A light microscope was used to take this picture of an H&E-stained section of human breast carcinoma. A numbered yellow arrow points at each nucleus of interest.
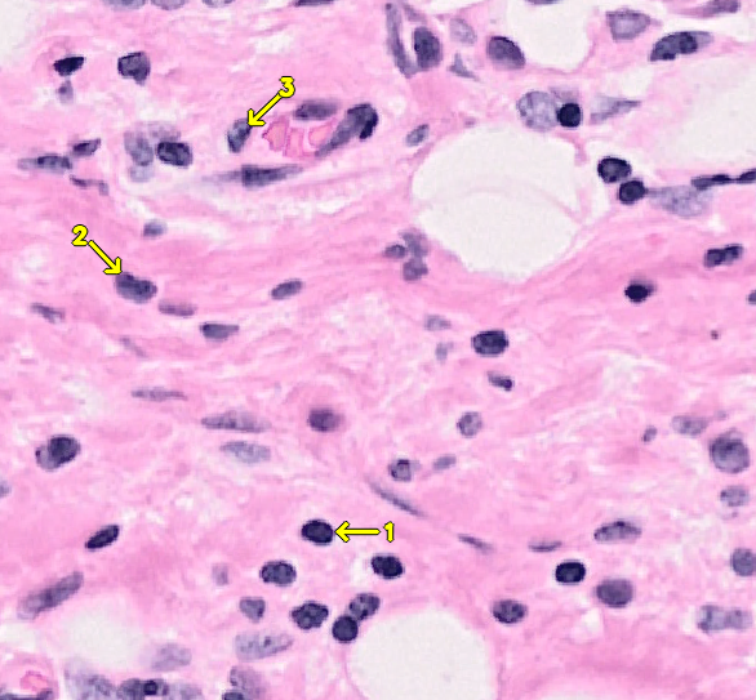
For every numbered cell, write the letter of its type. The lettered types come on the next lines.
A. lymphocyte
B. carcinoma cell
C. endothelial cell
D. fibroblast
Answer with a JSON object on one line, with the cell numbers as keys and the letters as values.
{"1": "A", "2": "A", "3": "C"}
